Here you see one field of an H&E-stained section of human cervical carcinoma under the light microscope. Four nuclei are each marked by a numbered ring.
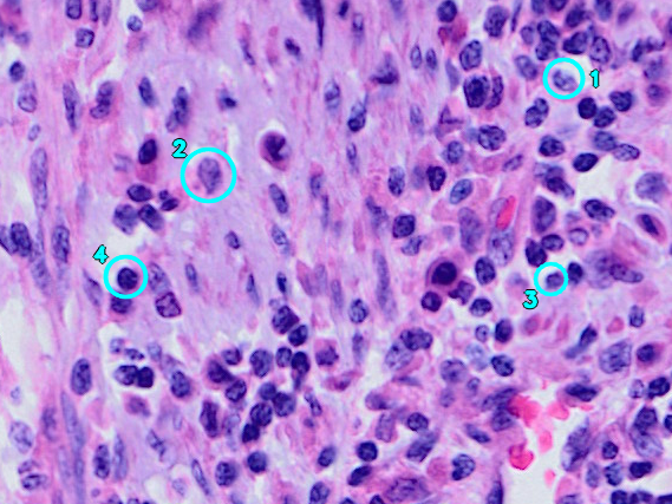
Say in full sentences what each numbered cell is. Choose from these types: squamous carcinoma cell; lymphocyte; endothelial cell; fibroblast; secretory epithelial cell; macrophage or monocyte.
Cell 1 is a lymphocyte, cell 2 is a macrophage or monocyte, cell 3 is a lymphocyte and cell 4 is a lymphocyte.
